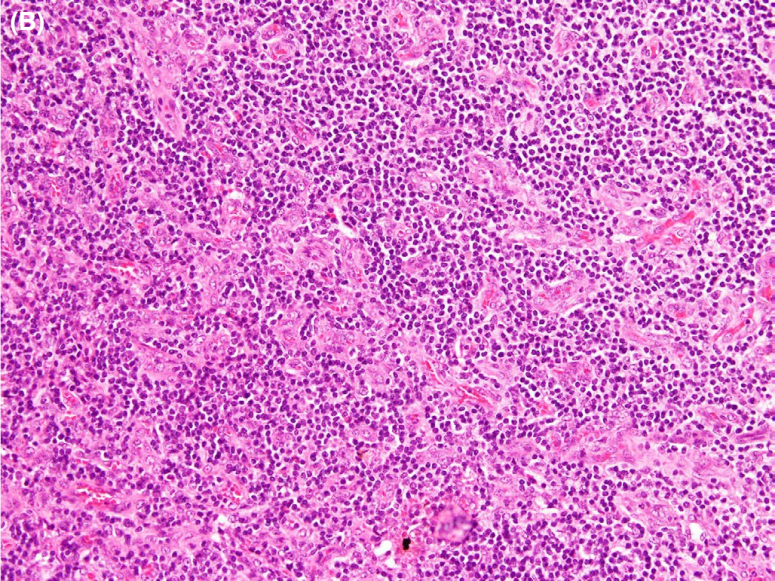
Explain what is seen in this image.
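Lymph node tissue packed with small round dark-purple lymphocytes. Numerous pink, elongated and branching venules run through the field, lined by plump endothelial cells with oval pale nuclei. The vessels are close-set, with a few red blood cells in their lumens. No follicle is seen in this field.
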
